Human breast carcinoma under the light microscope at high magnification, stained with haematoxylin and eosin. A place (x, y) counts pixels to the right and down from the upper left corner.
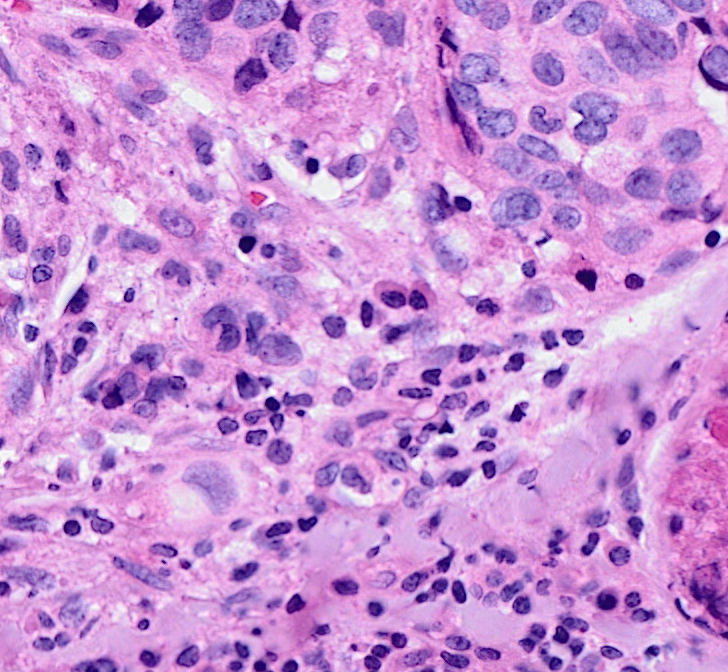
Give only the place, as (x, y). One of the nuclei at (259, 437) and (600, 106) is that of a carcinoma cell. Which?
(600, 106)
